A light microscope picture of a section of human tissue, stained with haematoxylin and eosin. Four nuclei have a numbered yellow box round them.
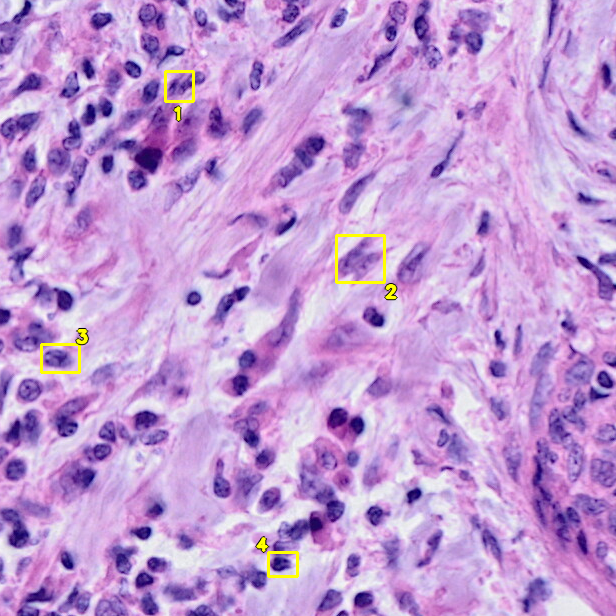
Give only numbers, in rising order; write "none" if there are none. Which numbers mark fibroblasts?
2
